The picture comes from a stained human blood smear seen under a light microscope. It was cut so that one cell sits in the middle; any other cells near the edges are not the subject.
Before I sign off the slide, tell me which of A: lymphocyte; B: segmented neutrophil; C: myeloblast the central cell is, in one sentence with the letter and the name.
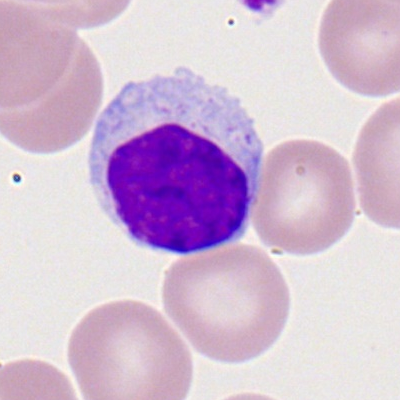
The middle of the crop contains a lymphocyte, so option A is right.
